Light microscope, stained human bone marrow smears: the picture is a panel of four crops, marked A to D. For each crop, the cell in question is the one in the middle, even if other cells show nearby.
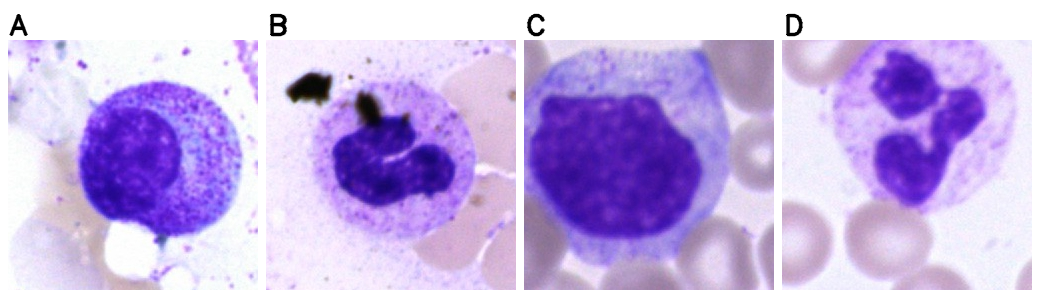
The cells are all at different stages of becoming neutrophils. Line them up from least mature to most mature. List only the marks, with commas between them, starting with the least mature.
C, A, B, D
